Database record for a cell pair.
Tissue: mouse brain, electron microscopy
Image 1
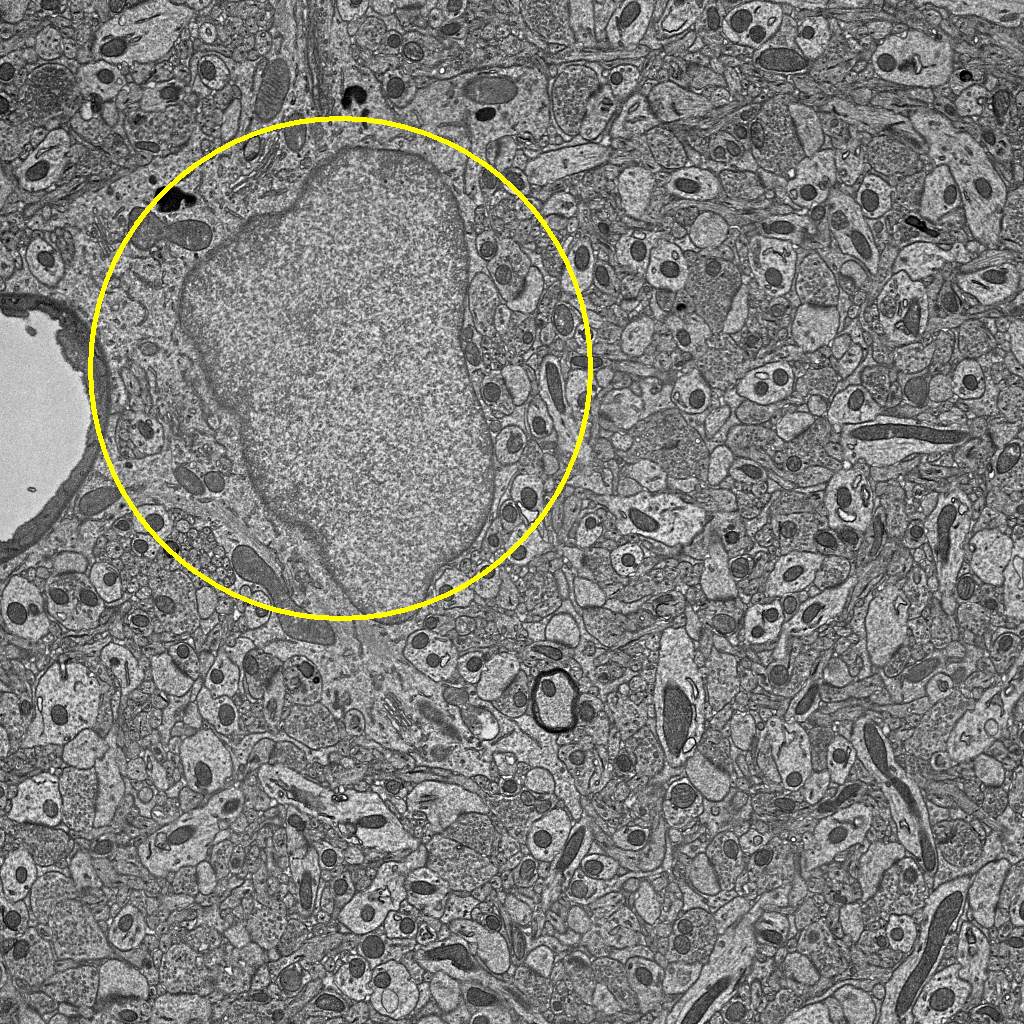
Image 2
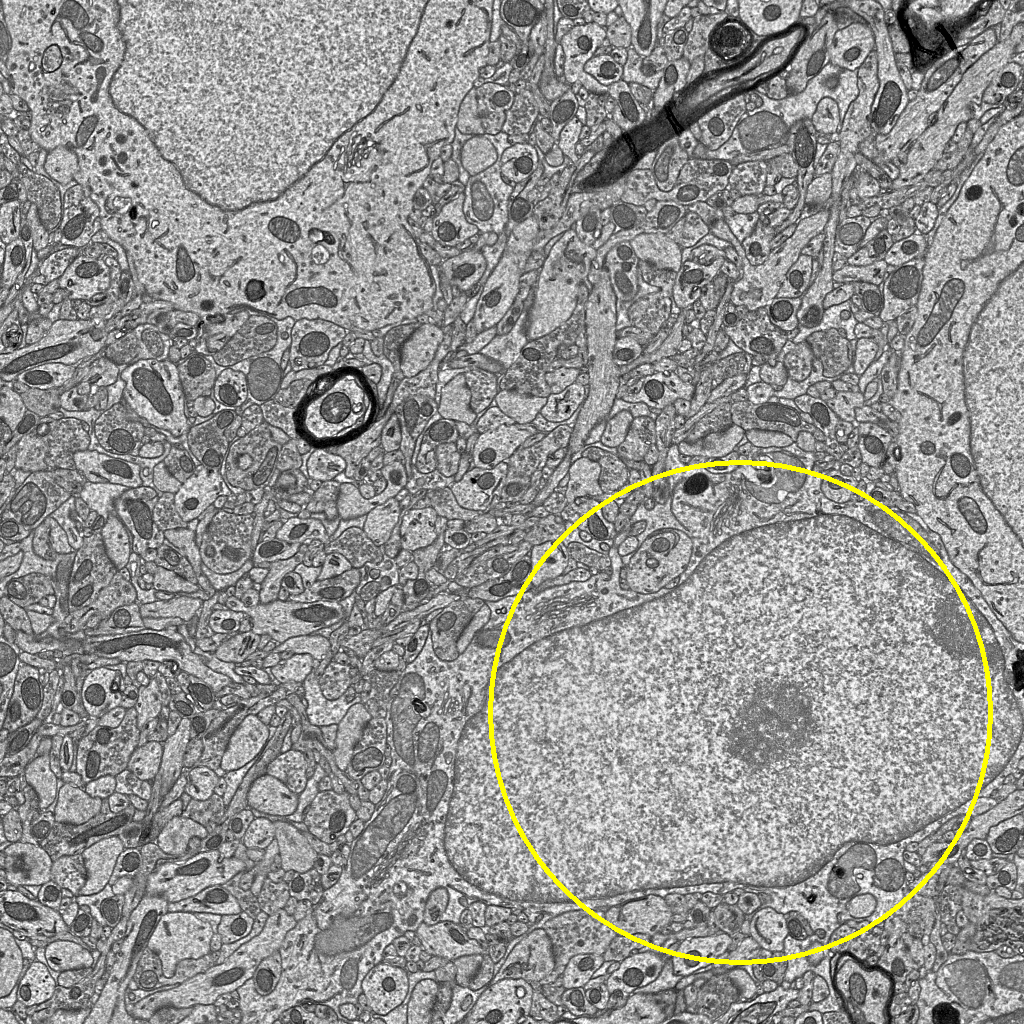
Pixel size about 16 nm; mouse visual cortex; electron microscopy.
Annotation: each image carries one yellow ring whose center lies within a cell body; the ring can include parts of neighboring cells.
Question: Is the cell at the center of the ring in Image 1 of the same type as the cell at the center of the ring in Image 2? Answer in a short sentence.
Yes, the cells are of the same type.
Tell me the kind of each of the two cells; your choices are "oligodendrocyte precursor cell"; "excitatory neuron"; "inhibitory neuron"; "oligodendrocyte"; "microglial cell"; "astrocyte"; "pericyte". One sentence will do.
Both rings mark an astrocyte, one in each picture.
